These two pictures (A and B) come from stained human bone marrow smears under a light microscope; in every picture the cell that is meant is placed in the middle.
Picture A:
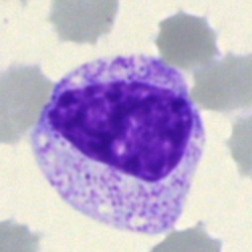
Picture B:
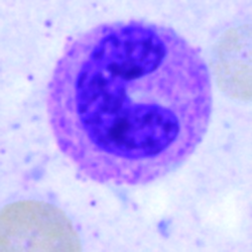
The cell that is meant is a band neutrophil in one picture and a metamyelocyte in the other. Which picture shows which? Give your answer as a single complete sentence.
Picture A is of a metamyelocyte, and picture B is of a band neutrophil.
